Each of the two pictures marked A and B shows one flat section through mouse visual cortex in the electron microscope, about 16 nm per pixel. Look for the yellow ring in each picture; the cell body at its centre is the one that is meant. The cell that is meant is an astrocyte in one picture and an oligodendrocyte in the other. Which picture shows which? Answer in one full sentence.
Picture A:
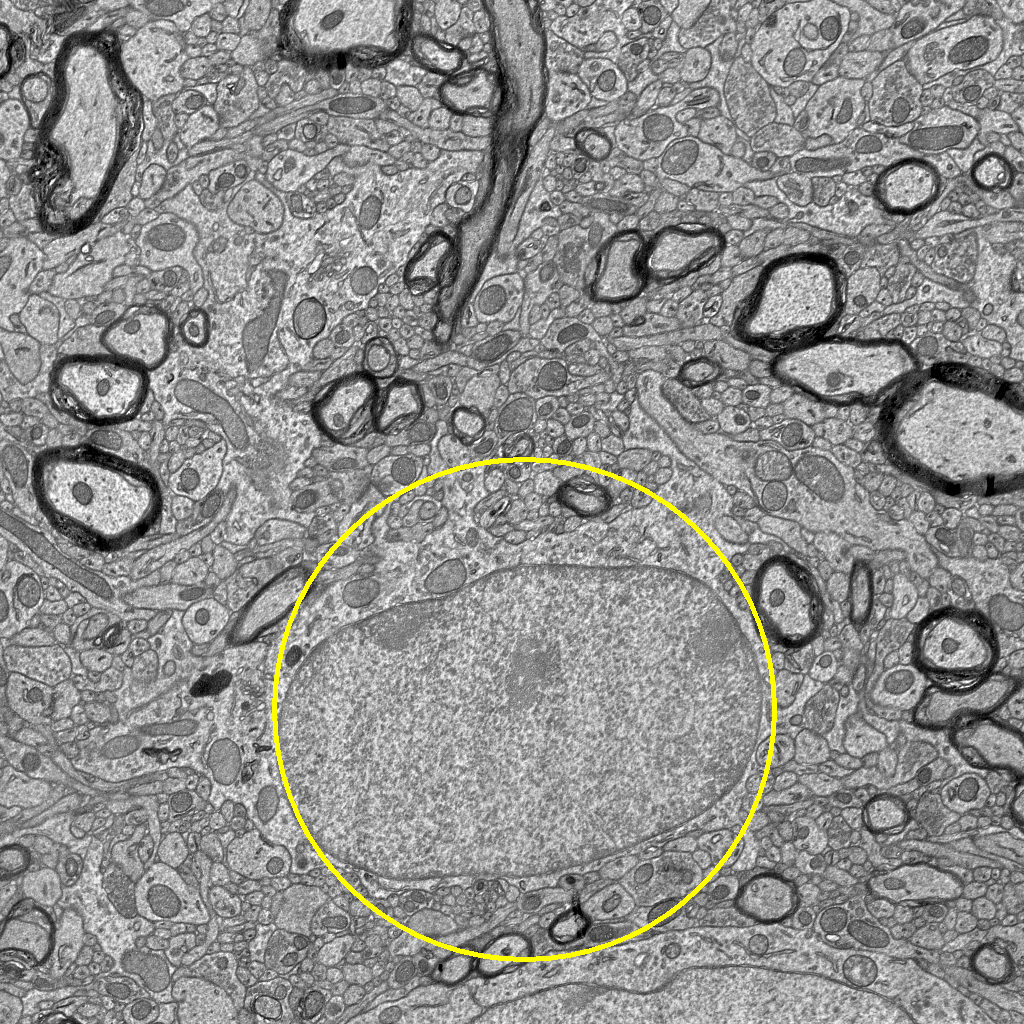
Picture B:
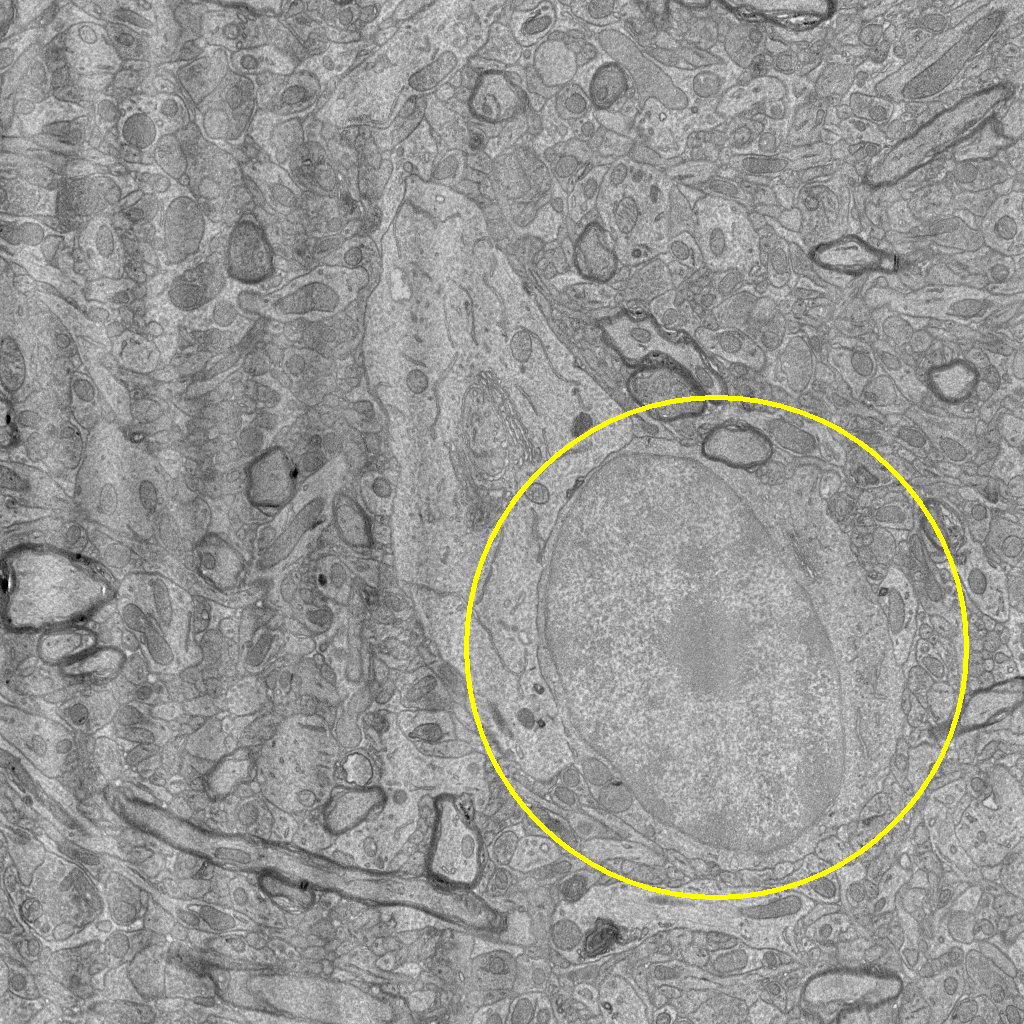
Picture A shows an astrocyte and picture B shows an oligodendrocyte.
